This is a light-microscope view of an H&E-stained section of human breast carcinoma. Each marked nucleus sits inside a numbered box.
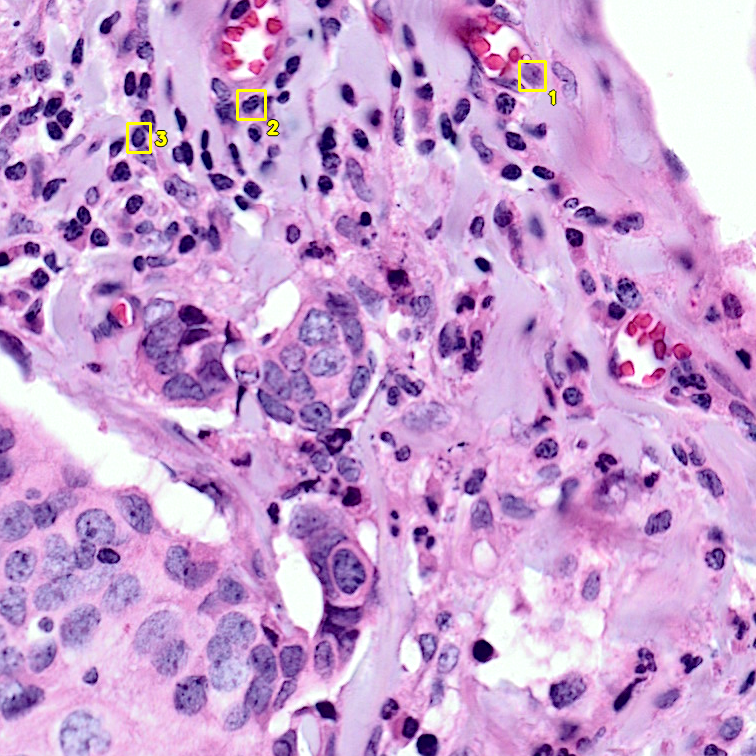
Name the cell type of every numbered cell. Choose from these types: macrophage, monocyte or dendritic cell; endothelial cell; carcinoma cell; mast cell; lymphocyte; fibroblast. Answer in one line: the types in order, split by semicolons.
endothelial cell; lymphocyte; lymphocyte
